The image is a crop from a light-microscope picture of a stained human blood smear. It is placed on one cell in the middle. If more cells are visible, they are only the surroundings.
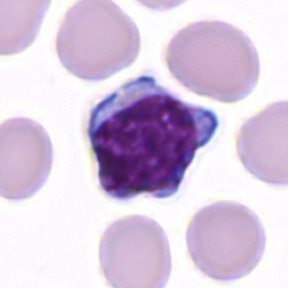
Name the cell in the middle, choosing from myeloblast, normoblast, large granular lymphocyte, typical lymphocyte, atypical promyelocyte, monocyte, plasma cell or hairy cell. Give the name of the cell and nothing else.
plasma cell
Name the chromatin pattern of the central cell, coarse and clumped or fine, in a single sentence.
If you check the nucleus, you will find the chromatin coarsely clumped.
